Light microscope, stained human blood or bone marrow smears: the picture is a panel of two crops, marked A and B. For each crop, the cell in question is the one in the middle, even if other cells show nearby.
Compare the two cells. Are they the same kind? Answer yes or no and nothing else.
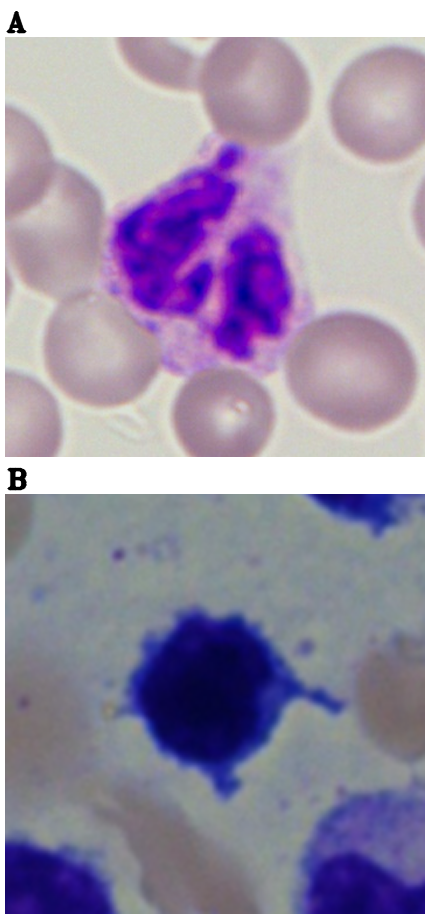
no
